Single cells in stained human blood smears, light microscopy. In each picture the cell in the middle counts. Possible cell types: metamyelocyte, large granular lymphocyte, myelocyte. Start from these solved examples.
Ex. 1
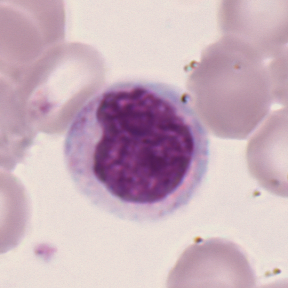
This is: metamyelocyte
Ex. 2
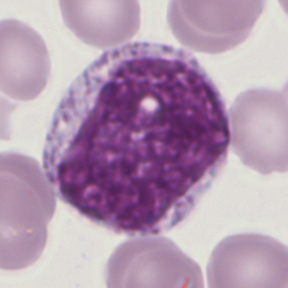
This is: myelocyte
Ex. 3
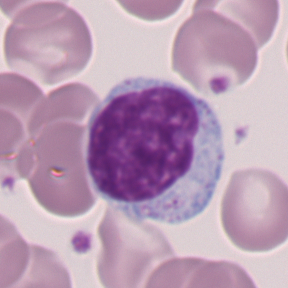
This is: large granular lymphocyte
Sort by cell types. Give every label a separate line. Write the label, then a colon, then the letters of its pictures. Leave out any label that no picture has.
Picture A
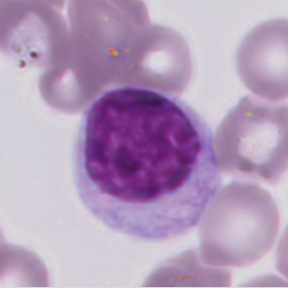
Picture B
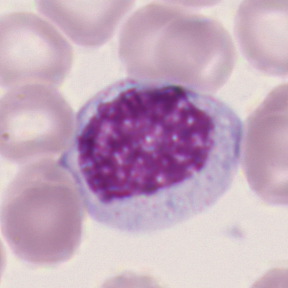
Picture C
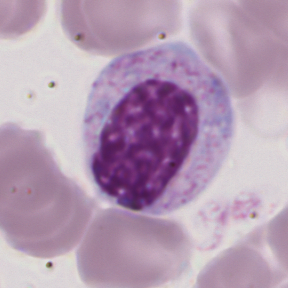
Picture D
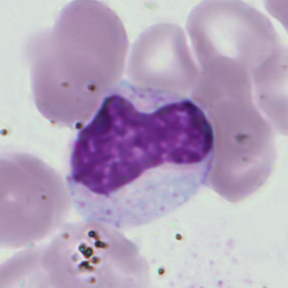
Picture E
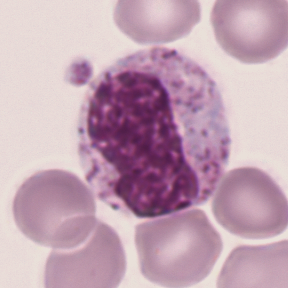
metamyelocyte: C, D, E
myelocyte: A, B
